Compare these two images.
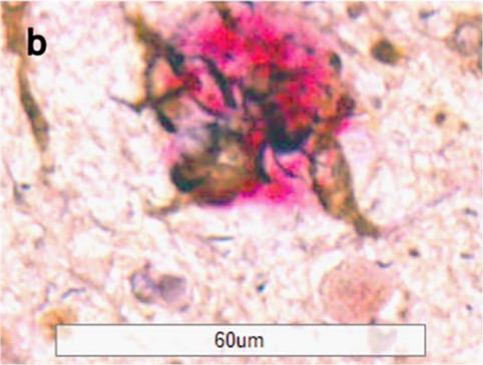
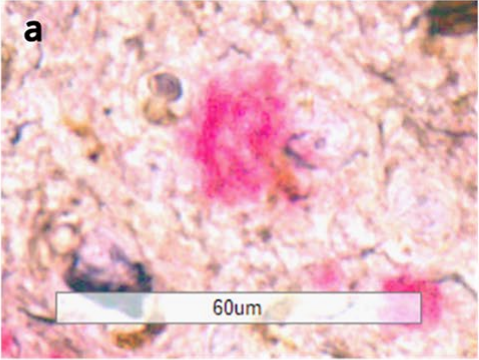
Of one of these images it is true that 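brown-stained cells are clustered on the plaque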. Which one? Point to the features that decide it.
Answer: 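First image: brown cell bodies with processes crowd over the pink deposit, together with black threads. Second image: the pink deposit is free of brown cells and black threads.
Hence: the first image.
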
